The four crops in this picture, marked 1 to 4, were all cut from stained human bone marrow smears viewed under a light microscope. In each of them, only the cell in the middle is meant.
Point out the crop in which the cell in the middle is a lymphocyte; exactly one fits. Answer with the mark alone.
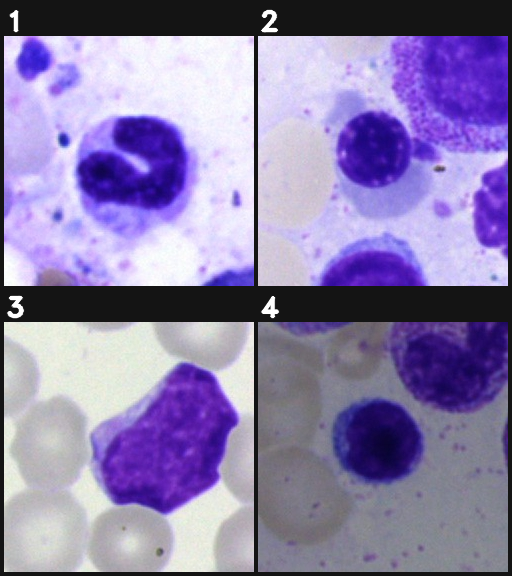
4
